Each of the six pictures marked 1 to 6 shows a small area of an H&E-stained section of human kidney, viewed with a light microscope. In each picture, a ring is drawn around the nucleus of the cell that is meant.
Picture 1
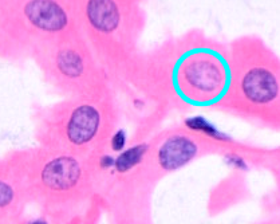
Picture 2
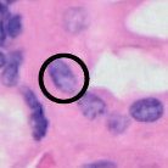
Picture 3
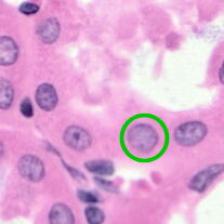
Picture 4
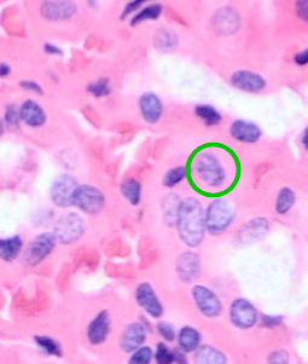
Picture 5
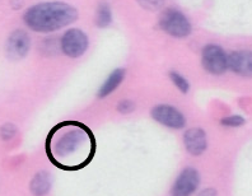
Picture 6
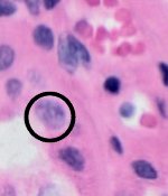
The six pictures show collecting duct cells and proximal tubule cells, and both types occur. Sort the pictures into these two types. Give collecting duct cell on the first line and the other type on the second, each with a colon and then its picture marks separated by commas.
collecting duct cell: 2, 4, 5, 6
proximal tubule cell: 1, 3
